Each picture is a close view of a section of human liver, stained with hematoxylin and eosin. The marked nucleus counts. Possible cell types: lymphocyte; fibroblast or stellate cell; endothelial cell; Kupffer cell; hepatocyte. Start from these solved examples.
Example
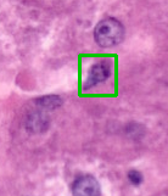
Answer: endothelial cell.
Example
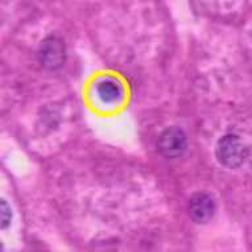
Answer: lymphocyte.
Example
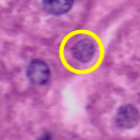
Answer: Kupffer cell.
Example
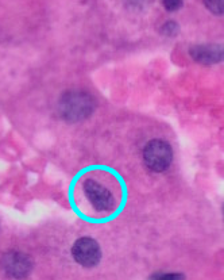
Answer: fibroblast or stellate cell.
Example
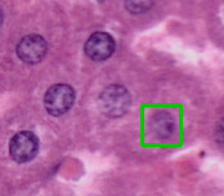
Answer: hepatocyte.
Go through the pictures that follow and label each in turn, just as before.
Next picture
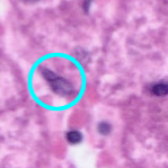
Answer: Kupffer cell.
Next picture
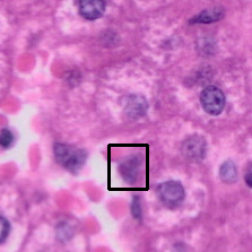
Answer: endothelial cell.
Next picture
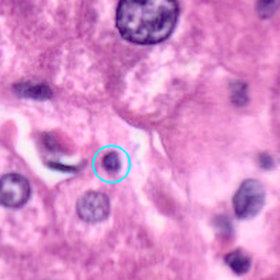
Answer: lymphocyte.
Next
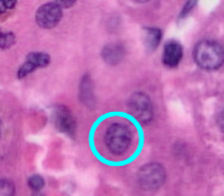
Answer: hepatocyte.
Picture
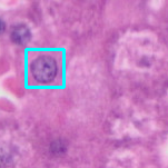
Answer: hepatocyte.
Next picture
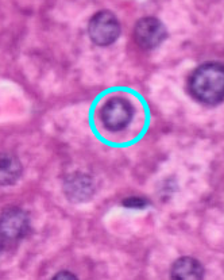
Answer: hepatocyte.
